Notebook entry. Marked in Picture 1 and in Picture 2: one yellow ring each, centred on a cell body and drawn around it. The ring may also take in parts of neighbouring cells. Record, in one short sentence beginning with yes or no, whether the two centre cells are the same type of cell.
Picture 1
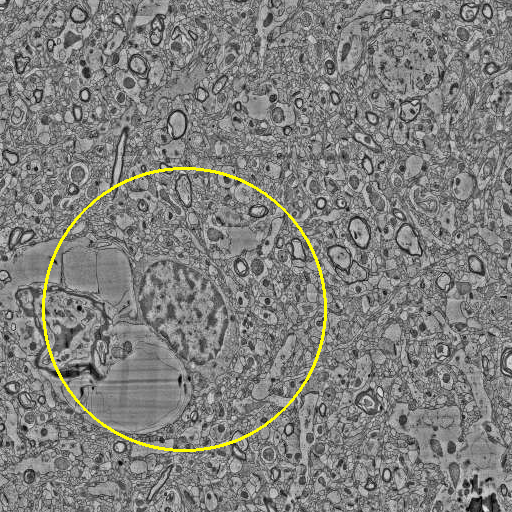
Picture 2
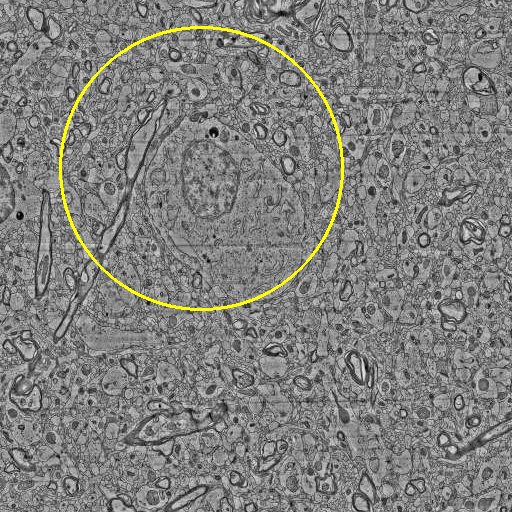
No, they are two types of cell.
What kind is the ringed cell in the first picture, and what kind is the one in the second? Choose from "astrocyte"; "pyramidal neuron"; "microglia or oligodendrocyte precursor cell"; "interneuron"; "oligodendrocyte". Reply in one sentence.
The first cell is an oligodendrocyte; the second is an interneuron.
